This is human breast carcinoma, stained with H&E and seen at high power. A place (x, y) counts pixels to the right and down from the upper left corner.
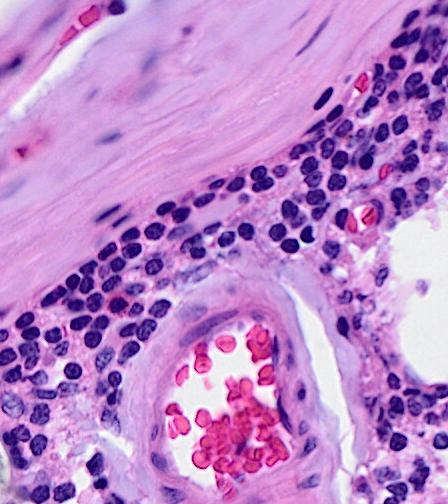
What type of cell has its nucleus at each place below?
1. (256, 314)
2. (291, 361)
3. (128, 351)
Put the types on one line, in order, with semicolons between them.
endothelial cell; endothelial cell; lymphocyte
